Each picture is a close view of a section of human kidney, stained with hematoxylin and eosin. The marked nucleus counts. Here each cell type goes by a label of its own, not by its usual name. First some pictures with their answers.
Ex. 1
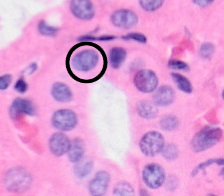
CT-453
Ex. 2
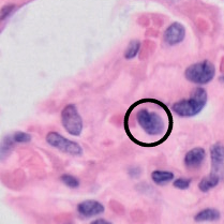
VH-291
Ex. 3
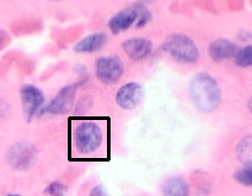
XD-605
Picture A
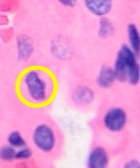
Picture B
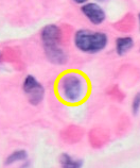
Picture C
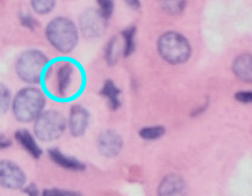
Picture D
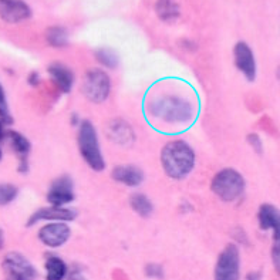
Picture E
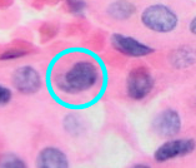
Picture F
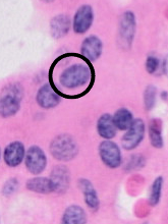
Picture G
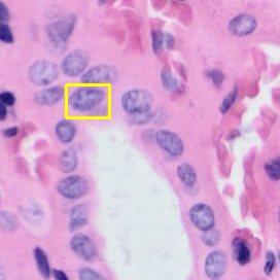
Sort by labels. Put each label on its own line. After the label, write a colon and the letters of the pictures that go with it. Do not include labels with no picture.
CT-453: C, F, G
VH-291: B
XD-605: A, D, E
